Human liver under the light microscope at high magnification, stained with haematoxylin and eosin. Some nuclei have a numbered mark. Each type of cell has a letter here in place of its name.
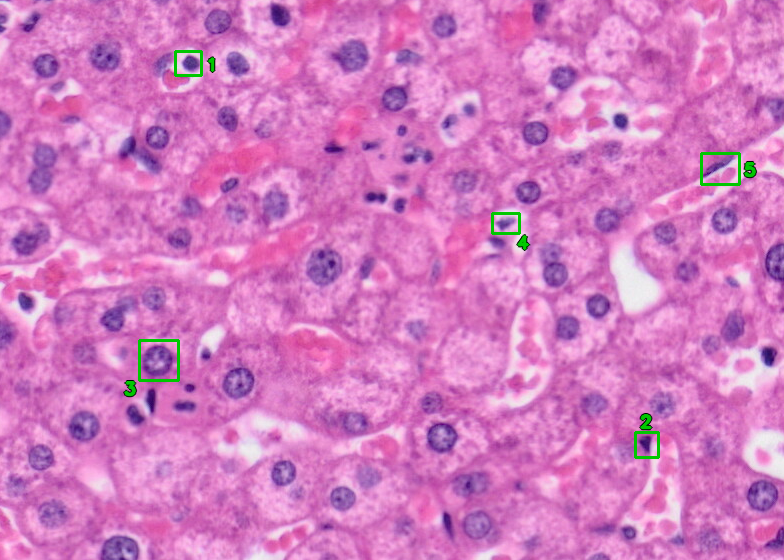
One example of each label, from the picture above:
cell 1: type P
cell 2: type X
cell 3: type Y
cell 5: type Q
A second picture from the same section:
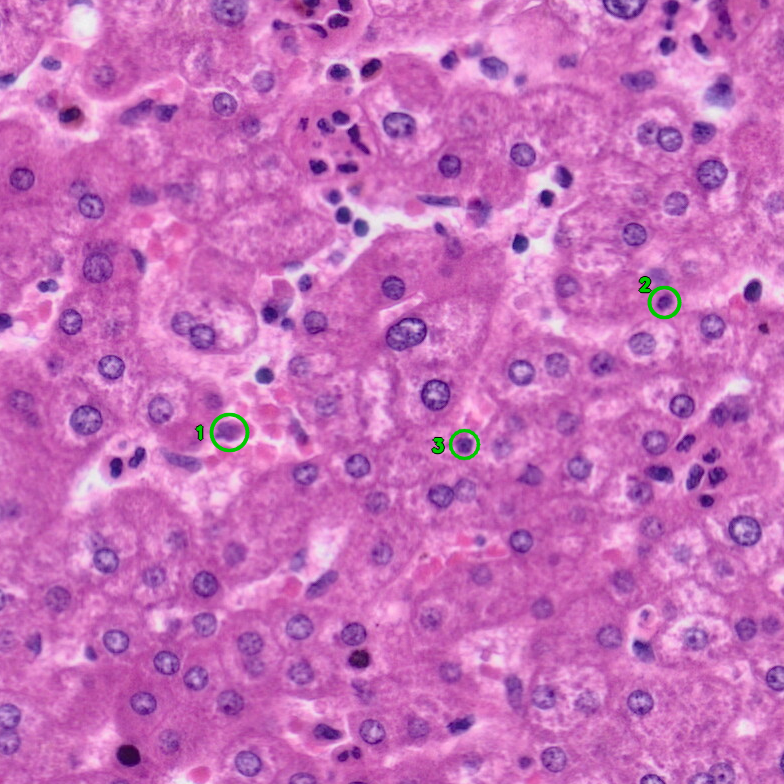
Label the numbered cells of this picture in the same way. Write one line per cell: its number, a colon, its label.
1: type Q
2: type P
3: type X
